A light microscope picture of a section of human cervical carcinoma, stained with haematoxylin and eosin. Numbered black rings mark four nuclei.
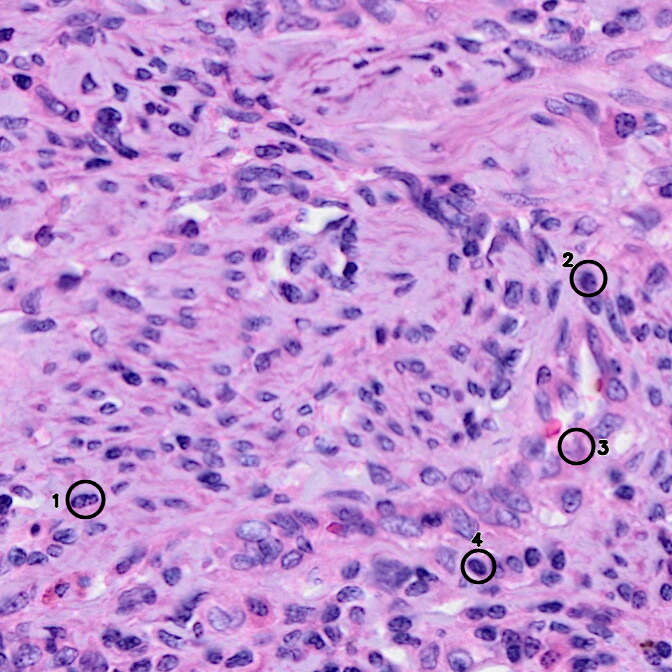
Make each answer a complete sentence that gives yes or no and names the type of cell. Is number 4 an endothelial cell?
No, cell 4 is a lymphocyte and should not be called an endothelial cell.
